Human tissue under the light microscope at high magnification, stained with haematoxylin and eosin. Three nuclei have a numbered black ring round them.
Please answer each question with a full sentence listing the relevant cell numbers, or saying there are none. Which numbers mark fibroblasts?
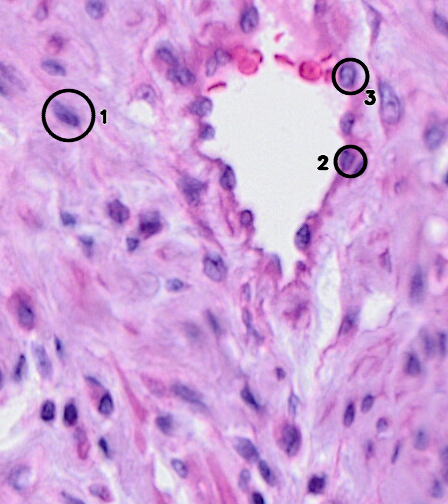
Among the numbered nuclei, only the one labelled 1 belongs to a fibroblast.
